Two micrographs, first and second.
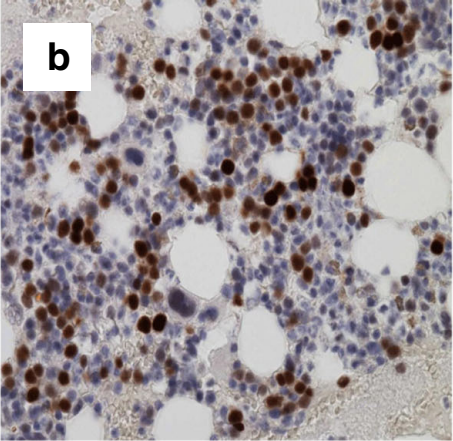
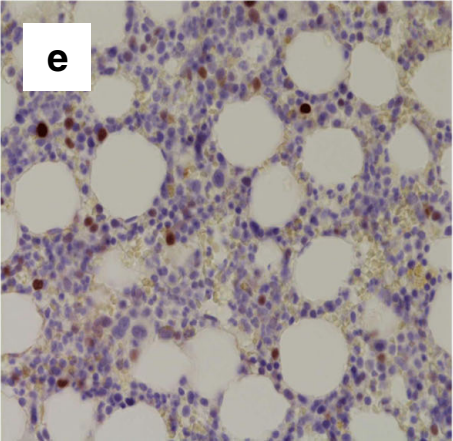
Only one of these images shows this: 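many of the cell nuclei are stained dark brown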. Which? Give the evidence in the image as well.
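Second image: only a few scattered nuclei are brown; most are blue. First image: numerous nuclei are stained dark brown, many in groups. That points to this answer: the first image.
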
